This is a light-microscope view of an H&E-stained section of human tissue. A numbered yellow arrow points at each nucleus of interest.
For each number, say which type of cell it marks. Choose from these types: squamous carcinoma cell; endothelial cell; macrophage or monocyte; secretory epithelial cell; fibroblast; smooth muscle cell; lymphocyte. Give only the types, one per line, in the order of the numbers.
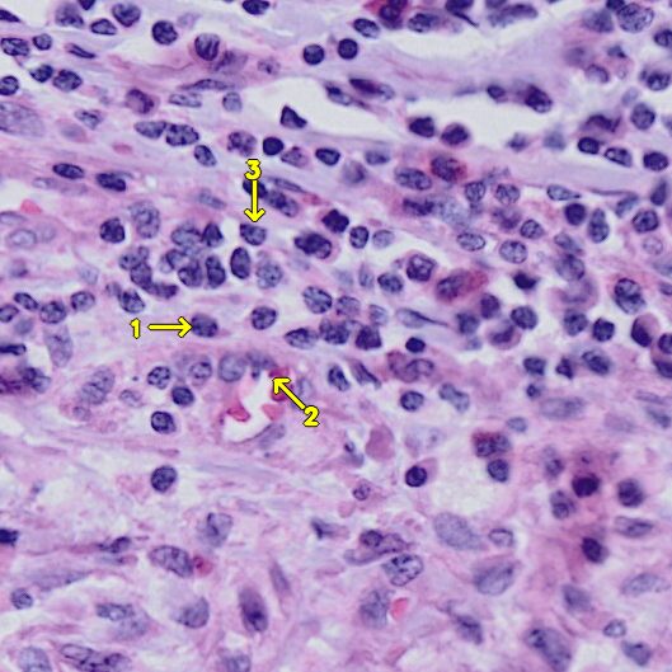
lymphocyte
endothelial cell
lymphocyte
